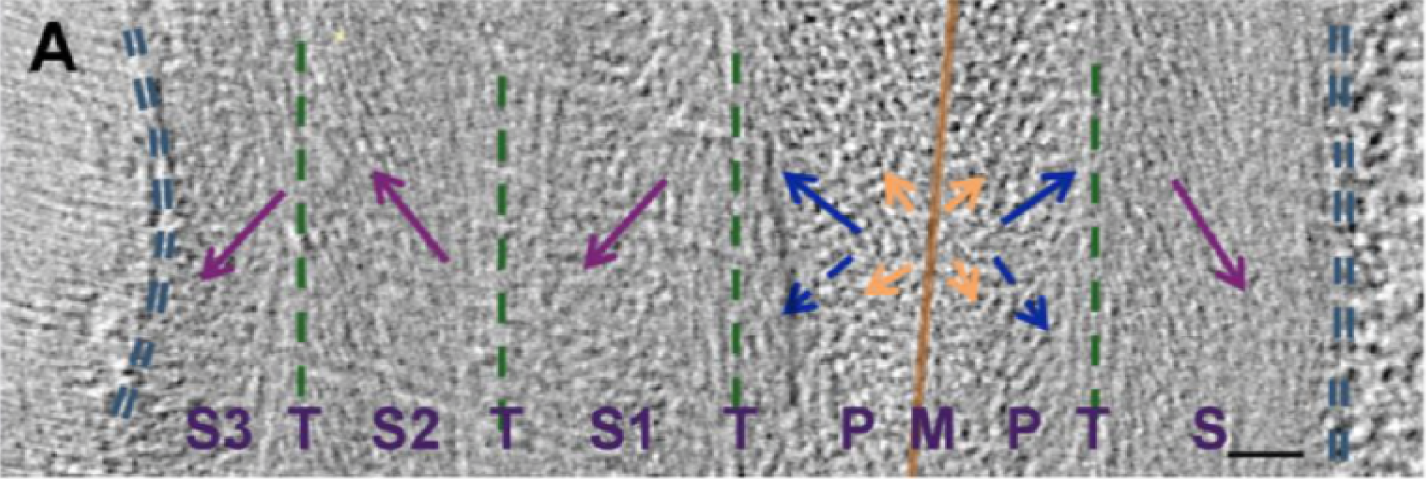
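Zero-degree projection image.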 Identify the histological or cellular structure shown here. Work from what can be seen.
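A broad band of fine fibrillar texture fills the panel between two double dashed lines at its left and right edges. The band is divided into several zones by vertical dashed lines. Short fibril-like streaks run at different angles in different zones.
Answer: cell wall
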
